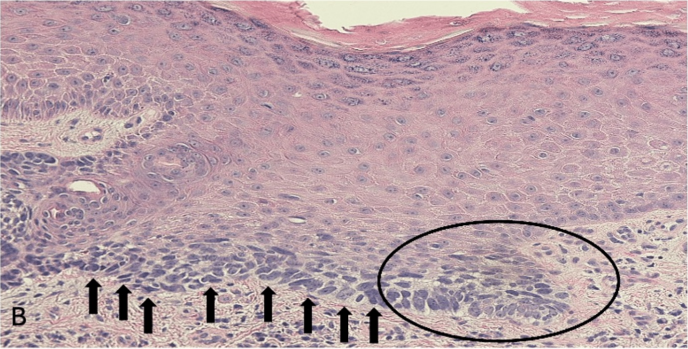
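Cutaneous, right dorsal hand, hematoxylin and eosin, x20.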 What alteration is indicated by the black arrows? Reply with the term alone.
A: Confluent proliferation of atypical cells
